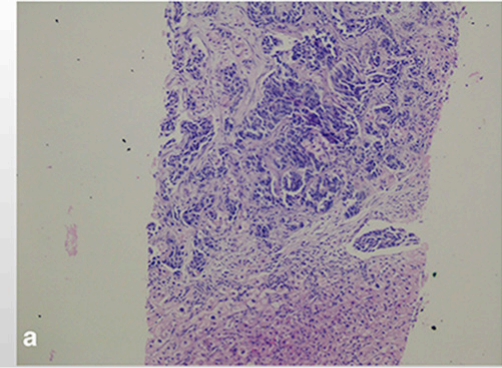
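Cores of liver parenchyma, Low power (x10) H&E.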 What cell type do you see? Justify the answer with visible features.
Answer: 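Dense purple-staining nests and cords of crowded cells occupy most of the core. The cell groups are separated by paler pink strands of tissue. A paler pink area lies at the lower part of the core. The answer: malignant epithelioid cells.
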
